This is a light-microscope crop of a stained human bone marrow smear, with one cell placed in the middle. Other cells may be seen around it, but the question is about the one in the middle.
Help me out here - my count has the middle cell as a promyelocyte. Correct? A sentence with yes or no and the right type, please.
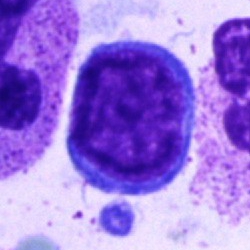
No, calling it a promyelocyte is wrong; the middle cell is a proerythroblast.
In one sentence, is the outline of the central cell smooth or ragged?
The membrane contour is even and smooth, with nothing projecting from it.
